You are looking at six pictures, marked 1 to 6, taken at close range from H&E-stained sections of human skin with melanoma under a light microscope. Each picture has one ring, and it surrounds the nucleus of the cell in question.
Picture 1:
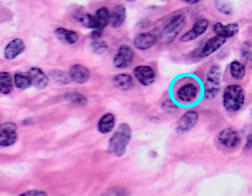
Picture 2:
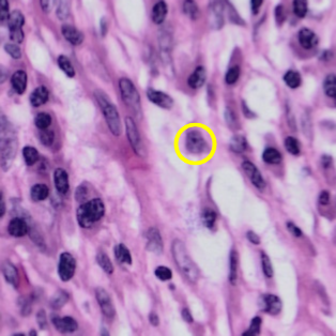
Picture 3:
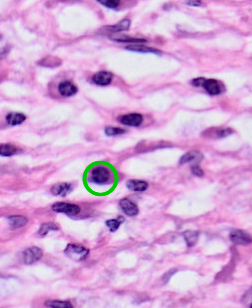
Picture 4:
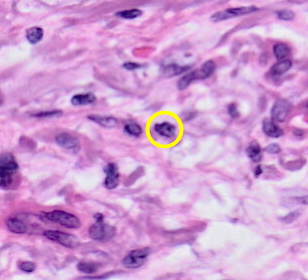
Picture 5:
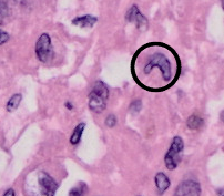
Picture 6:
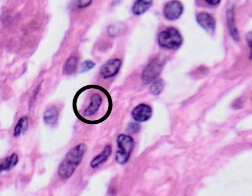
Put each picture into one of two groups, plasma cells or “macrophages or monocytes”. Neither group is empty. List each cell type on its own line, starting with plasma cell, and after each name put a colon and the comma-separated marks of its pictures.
plasma cell: 1, 3, 4
macrophage or monocyte: 2, 5, 6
